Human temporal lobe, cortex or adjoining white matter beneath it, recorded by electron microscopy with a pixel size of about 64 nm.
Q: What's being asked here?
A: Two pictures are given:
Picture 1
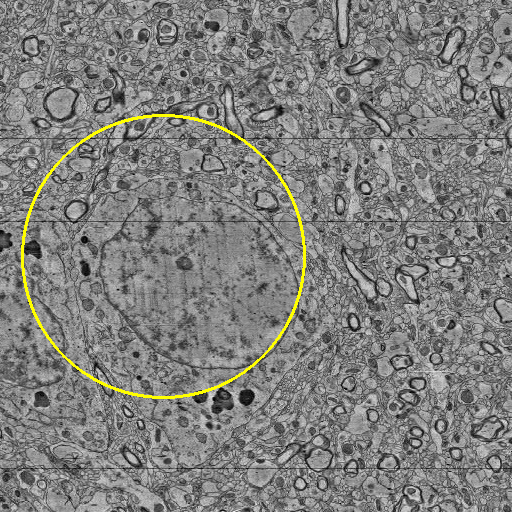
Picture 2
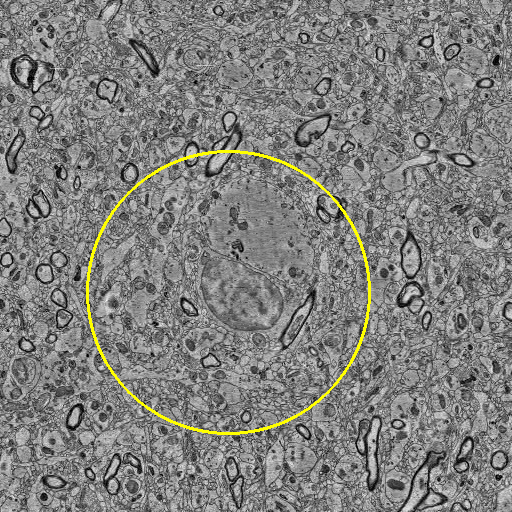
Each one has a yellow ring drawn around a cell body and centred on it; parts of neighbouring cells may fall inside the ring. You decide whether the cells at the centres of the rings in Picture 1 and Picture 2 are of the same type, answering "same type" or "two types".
two types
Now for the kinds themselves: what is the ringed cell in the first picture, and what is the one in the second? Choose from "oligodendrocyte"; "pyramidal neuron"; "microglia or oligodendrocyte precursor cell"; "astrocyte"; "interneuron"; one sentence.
Here the first cell is a pyramidal neuron and the second cell is an oligodendrocyte.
